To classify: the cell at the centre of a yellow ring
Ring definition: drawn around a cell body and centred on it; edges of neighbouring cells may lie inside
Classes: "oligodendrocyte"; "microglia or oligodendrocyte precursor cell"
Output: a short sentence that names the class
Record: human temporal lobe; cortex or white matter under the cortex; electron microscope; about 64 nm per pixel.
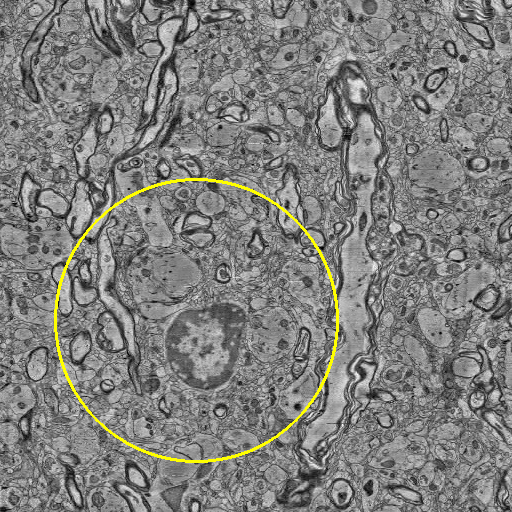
The ringed cell is a microglial cell or oligodendrocyte precursor cell.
